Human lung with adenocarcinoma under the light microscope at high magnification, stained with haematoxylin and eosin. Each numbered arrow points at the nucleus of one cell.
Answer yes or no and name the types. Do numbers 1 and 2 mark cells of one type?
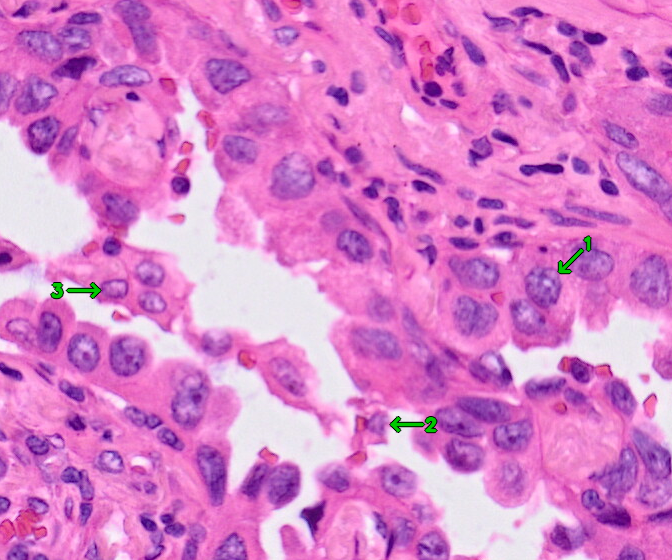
No, cell 1 is a carcinoma cell and cell 2 is a macrophage or monocyte.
